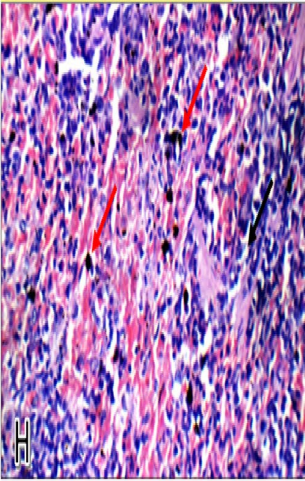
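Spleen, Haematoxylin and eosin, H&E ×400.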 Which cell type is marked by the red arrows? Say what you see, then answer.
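Scattered cells hold dark brown-black granular pigment. They lie among pink red blood cells and blue lymphocytes. The answer: ciderophages.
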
